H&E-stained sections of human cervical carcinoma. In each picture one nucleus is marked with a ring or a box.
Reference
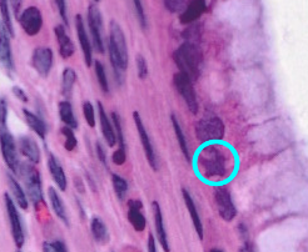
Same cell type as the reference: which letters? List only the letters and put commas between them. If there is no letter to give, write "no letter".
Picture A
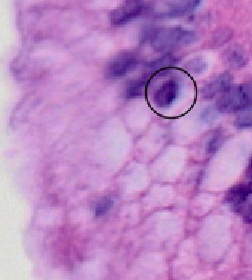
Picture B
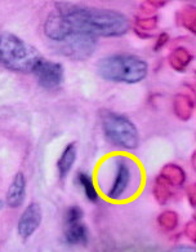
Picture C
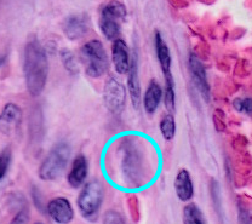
A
